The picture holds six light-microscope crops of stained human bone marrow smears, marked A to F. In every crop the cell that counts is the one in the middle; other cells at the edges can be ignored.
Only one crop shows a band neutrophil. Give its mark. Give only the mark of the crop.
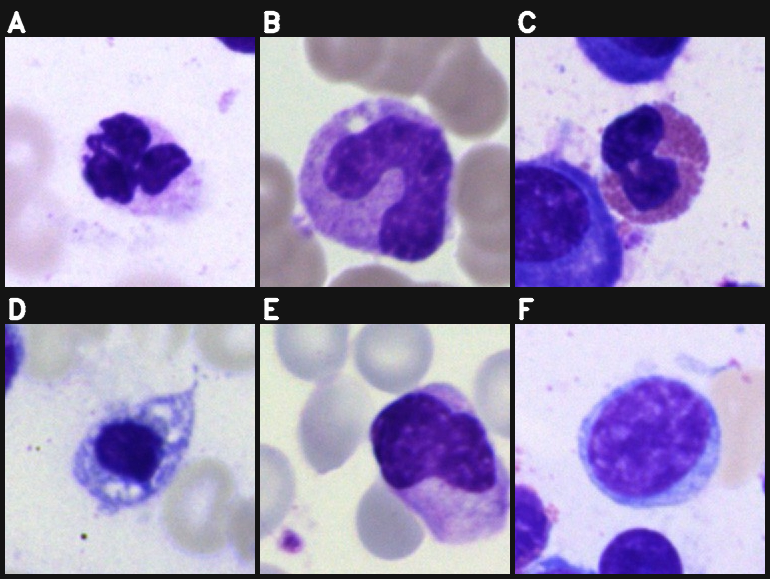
B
